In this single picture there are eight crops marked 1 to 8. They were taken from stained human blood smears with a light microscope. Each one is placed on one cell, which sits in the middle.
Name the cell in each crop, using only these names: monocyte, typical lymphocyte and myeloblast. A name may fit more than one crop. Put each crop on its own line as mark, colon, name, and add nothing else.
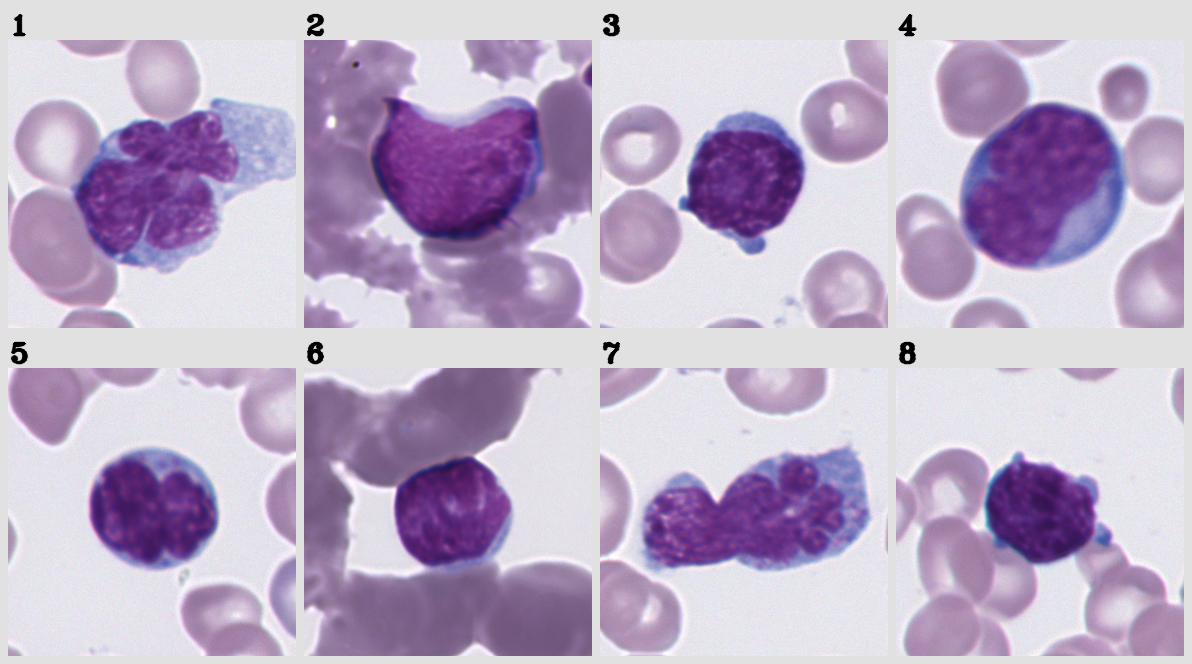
1: monocyte
2: myeloblast
3: typical lymphocyte
4: myeloblast
5: typical lymphocyte
6: typical lymphocyte
7: monocyte
8: typical lymphocyte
